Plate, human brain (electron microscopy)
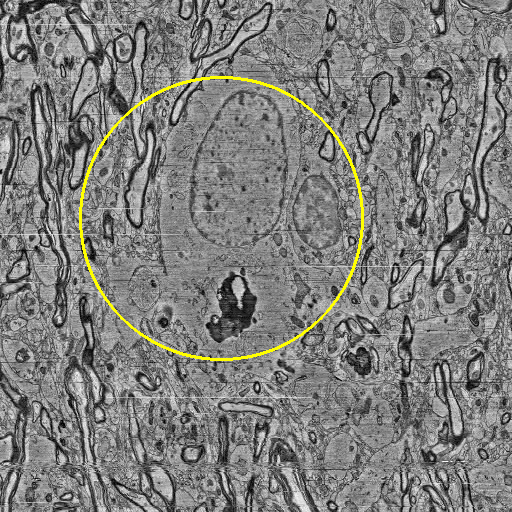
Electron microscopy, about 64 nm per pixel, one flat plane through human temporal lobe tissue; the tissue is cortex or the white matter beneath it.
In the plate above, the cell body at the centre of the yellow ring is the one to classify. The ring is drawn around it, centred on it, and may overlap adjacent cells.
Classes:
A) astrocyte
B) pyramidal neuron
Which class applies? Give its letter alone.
A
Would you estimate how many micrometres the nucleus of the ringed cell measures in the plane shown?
The nucleus is approximately 10 micrometres long but only about 6 wide, clearly longer than it is wide in this plane.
